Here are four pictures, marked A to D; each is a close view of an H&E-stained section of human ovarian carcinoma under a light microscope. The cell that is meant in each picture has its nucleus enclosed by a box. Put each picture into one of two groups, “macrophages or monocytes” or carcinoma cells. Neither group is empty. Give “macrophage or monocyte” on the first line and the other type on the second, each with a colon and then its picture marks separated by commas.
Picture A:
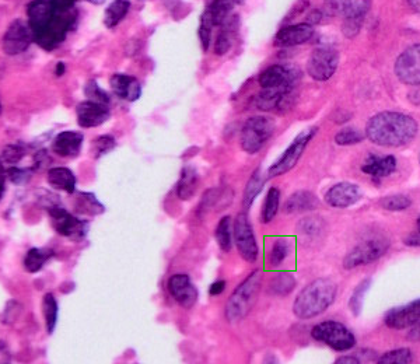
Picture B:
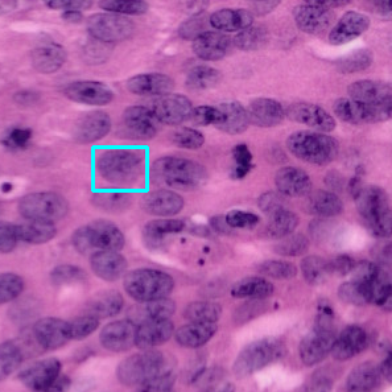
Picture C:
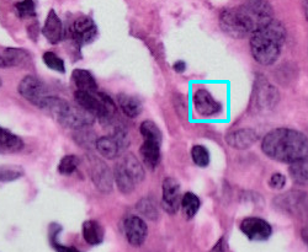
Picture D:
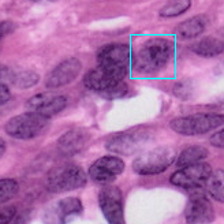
macrophage or monocyte: C
carcinoma cell: A, B, D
